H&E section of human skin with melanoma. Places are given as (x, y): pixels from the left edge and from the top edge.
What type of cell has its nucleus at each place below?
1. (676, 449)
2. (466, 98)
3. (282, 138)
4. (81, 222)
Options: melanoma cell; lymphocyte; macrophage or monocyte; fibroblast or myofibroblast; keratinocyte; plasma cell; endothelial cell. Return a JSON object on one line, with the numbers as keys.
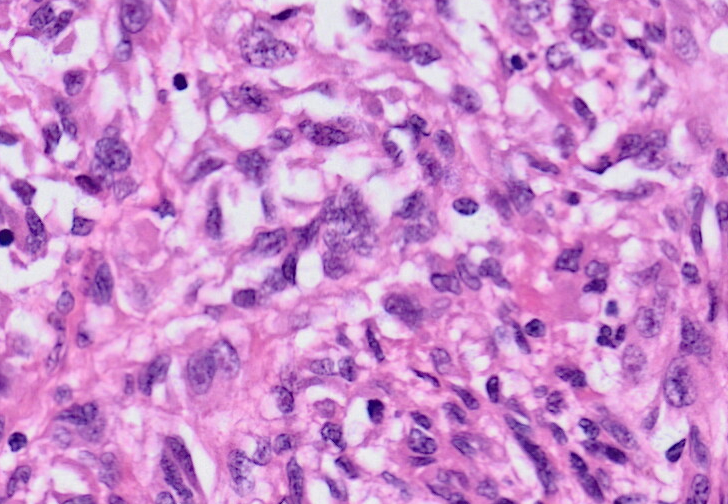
{"1": "lymphocyte", "2": "melanoma cell", "3": "melanoma cell", "4": "melanoma cell"}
